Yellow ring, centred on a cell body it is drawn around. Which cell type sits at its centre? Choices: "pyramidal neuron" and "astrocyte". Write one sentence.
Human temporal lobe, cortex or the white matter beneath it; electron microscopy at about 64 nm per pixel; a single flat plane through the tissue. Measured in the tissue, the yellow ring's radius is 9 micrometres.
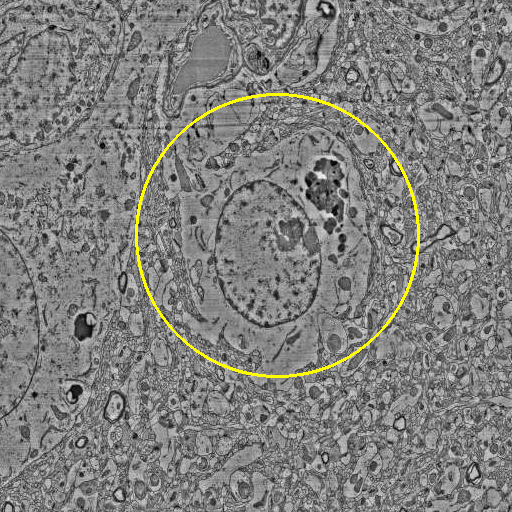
At the centre of the ring sits an astrocyte.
